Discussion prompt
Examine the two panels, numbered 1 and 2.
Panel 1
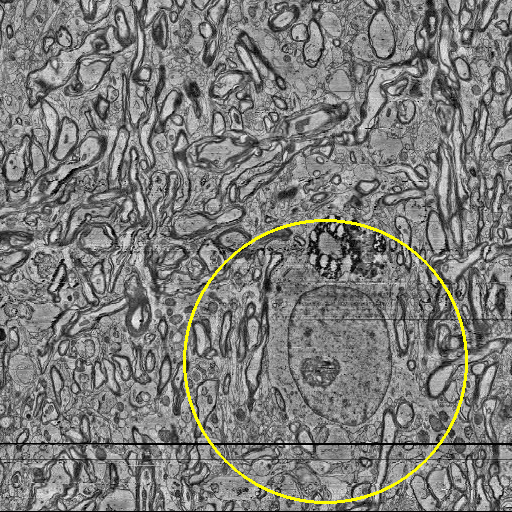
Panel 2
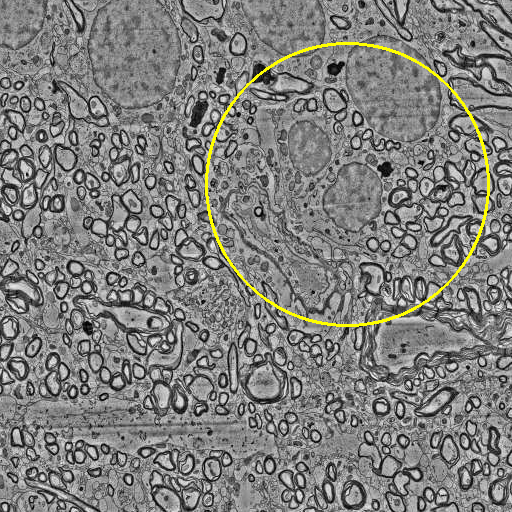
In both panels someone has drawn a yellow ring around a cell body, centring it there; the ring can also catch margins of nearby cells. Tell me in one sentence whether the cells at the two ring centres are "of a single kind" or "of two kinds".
Taken together, the two cells centred in the rings of Panels 1 and 2 are of two kinds.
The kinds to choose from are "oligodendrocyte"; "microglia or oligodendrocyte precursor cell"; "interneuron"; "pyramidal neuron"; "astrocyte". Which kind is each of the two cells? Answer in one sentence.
Of the two, the first cell is an astrocyte and the second cell is an oligodendrocyte.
